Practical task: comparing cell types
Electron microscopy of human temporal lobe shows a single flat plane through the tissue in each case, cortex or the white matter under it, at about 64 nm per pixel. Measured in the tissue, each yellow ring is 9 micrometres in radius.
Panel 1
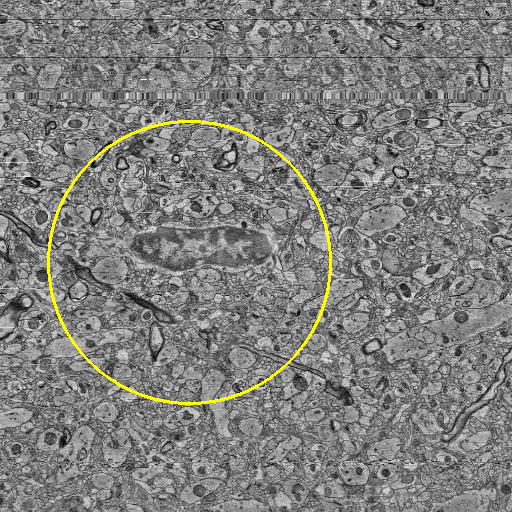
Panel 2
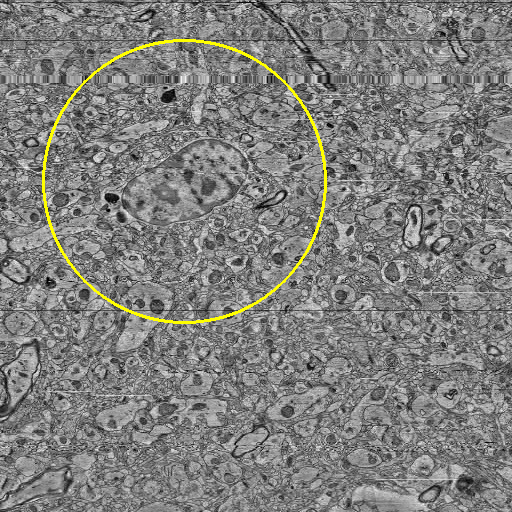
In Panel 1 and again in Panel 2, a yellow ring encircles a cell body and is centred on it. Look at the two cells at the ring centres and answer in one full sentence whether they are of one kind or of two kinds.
The two cells sitting at the ring centres of Panels 1 and 2 are of one kind.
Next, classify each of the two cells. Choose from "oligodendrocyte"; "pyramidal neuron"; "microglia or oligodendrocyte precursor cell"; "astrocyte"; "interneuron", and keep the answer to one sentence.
In each of the two pictures, the ringed cell is a microglial cell or oligodendrocyte precursor cell.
